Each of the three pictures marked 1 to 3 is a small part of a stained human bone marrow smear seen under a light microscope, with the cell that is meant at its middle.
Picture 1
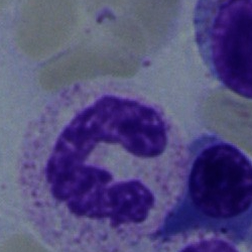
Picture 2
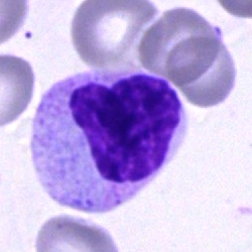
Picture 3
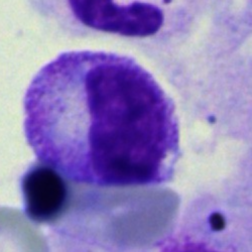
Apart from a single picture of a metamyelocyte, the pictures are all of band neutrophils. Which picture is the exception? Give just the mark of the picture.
3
